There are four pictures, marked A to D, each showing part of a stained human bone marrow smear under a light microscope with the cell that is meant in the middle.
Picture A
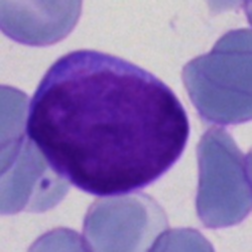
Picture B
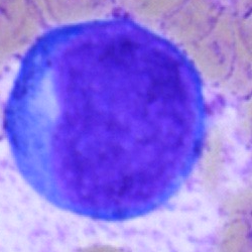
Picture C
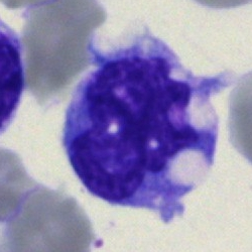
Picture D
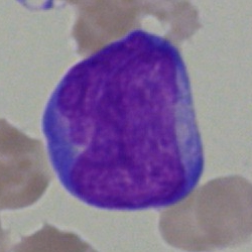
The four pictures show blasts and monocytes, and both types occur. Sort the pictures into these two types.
A: blast
B: blast
C: monocyte
D: blast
